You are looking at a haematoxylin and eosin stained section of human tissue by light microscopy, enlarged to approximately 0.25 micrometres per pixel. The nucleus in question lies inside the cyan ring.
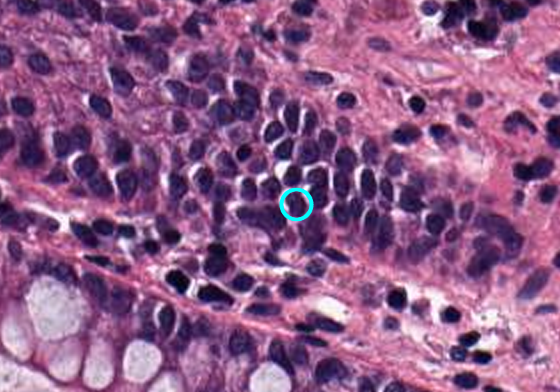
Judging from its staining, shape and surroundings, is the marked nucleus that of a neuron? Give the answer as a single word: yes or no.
no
